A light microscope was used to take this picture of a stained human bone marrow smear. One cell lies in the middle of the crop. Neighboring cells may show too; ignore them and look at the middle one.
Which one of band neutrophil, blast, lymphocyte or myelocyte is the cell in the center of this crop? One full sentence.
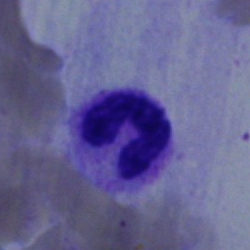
For this crop, the cell in the middle is a band neutrophil.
